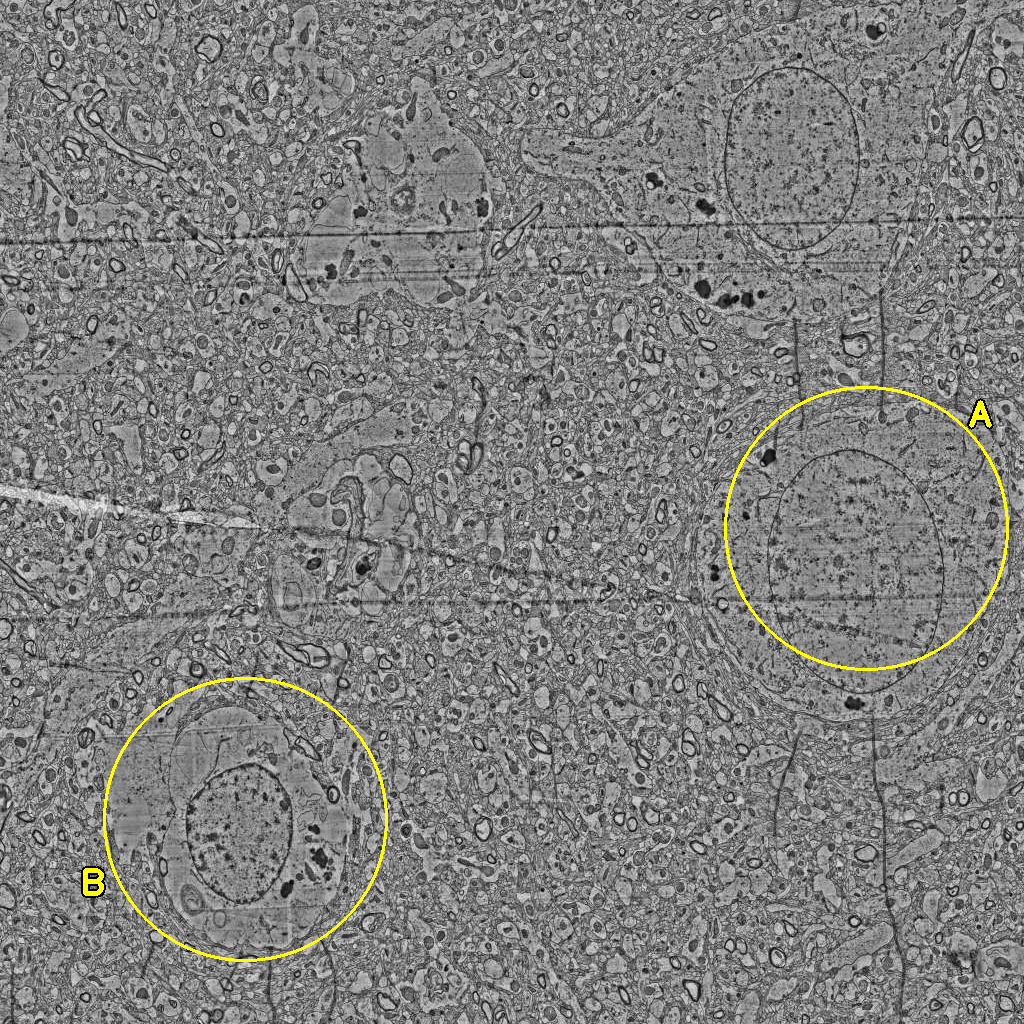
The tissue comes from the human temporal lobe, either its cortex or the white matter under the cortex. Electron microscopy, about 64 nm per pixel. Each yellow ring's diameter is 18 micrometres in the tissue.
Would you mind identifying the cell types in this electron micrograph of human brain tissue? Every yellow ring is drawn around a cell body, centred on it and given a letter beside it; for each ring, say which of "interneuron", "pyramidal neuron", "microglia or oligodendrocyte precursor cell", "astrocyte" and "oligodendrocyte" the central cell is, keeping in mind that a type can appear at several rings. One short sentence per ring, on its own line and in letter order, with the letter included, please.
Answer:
At the centre of ring A lies a pyramidal neuron.
At the centre of ring B lies an astrocyte.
